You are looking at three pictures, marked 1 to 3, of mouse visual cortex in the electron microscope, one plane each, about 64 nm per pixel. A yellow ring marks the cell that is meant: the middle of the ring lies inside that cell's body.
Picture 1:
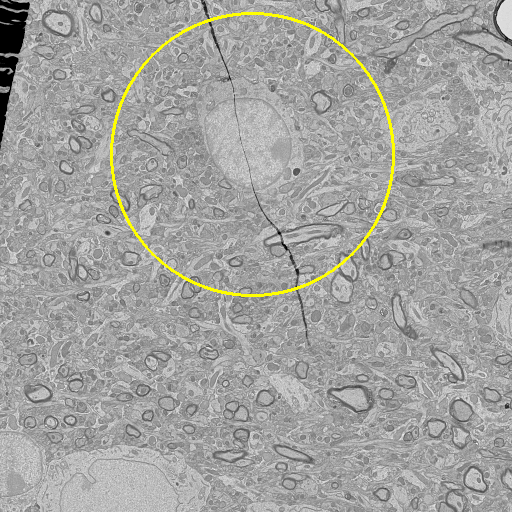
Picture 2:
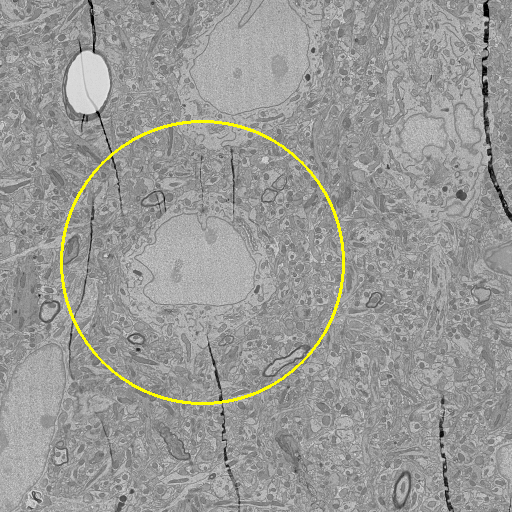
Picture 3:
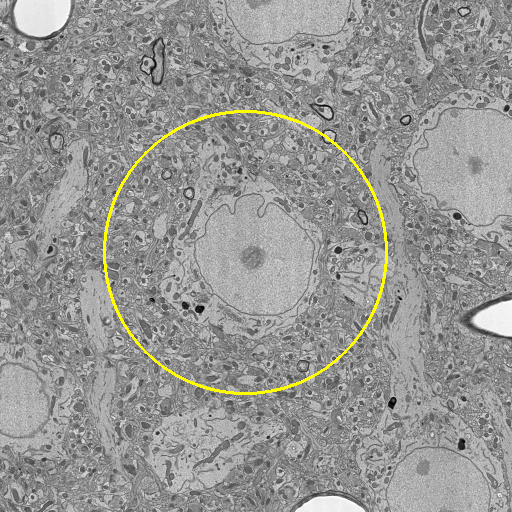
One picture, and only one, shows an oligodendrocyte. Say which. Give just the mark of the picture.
1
